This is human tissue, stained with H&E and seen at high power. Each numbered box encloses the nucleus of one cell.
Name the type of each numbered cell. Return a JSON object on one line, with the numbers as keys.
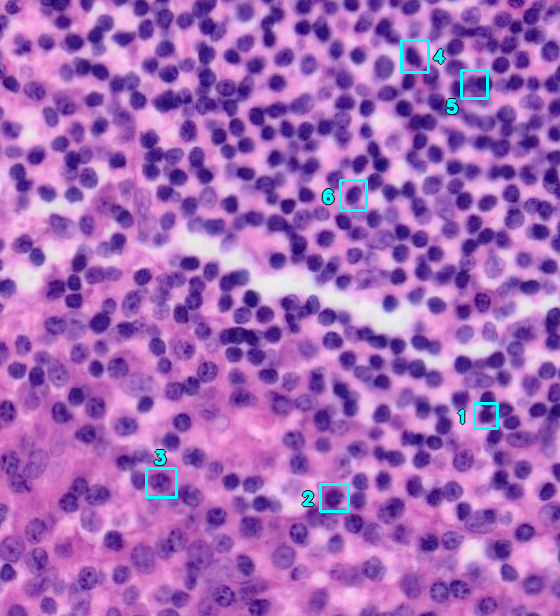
{"1": "small lymphocyte", "2": "plasma cell", "3": "plasma cell", "4": "small lymphocyte", "5": "small lymphocyte", "6": "small lymphocyte"}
